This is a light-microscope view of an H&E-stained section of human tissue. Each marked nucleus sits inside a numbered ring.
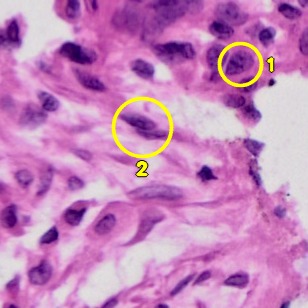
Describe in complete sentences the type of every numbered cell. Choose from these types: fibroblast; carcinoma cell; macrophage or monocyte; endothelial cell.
Cell 1 is a macrophage or monocyte. Cell 2 is a fibroblast.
